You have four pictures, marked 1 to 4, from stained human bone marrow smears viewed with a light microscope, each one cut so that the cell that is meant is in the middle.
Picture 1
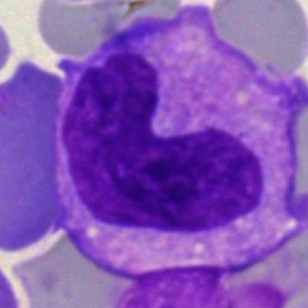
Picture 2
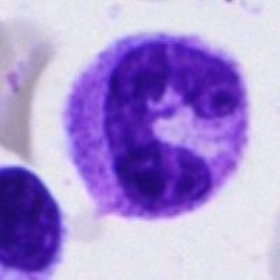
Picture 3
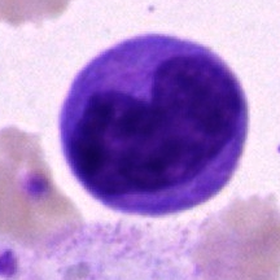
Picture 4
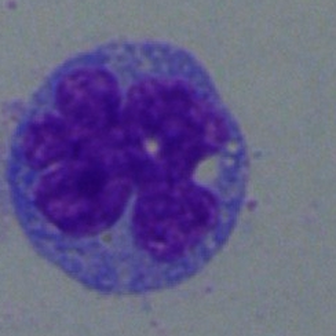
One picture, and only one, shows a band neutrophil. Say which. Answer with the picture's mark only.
2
